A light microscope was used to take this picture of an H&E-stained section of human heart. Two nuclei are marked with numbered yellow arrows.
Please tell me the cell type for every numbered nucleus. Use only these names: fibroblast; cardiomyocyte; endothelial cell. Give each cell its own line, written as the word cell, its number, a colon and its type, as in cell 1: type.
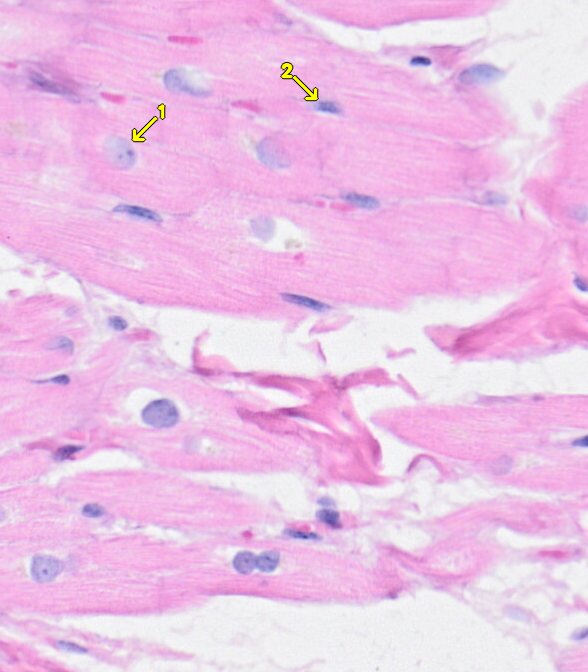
cell 1: cardiomyocyte
cell 2: endothelial cell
